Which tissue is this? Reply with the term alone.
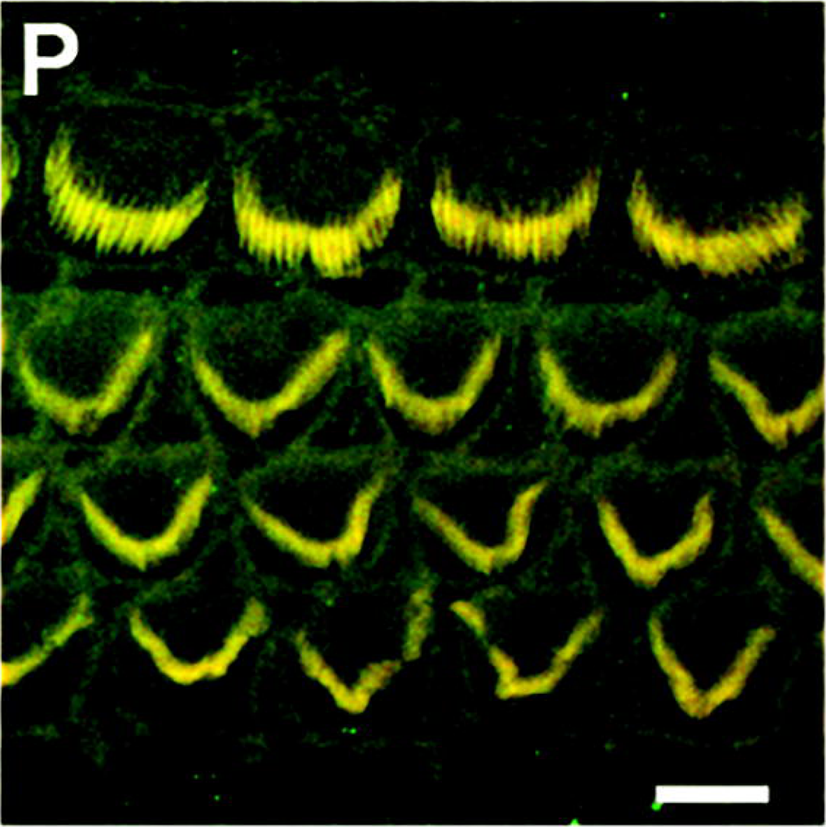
organ of Corti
